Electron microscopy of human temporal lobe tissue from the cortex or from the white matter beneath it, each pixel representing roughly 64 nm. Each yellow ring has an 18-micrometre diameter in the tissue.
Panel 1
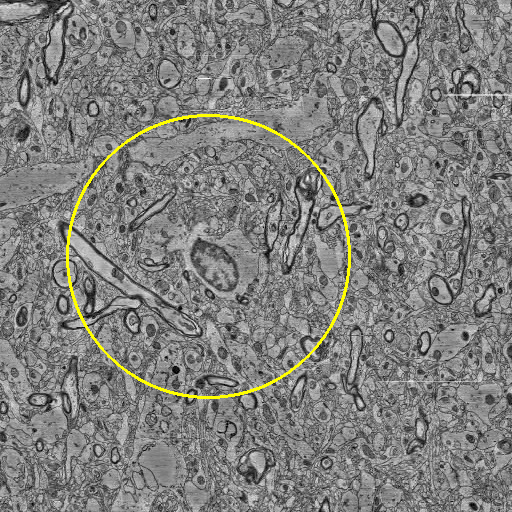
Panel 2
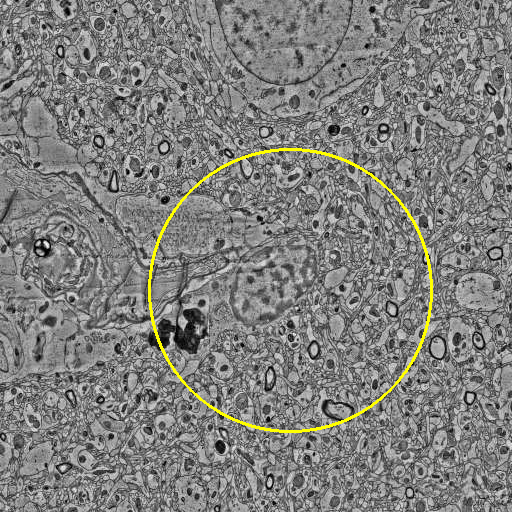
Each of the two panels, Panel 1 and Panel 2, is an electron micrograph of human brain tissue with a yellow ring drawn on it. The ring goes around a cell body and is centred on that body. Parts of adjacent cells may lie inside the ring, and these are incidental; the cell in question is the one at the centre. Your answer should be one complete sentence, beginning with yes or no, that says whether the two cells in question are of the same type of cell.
No, the two cells are of two types.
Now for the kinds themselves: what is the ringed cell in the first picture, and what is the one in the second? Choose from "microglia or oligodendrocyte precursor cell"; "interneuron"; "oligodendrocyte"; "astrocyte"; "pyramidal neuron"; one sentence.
Here the first cell is a microglial cell or oligodendrocyte precursor cell and the second cell is an oligodendrocyte.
